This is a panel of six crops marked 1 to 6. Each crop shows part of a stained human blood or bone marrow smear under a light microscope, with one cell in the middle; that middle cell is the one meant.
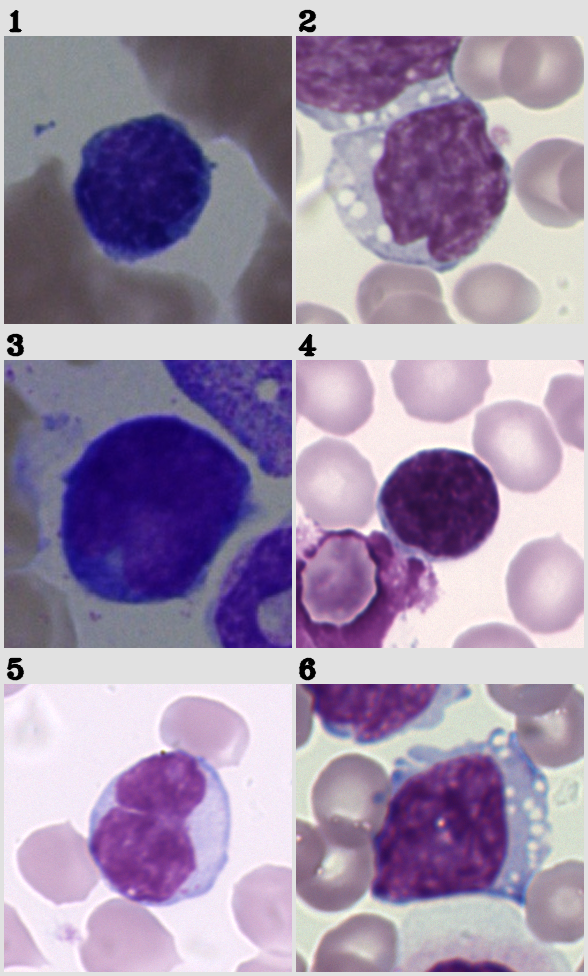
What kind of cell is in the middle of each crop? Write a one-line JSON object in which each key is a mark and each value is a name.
{"1": "blast", "2": "blast", "3": "blast", "4": "lymphocyte", "5": "blast", "6": "blast"}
